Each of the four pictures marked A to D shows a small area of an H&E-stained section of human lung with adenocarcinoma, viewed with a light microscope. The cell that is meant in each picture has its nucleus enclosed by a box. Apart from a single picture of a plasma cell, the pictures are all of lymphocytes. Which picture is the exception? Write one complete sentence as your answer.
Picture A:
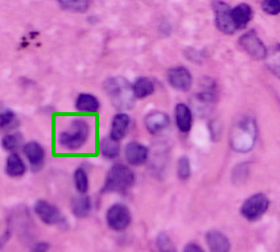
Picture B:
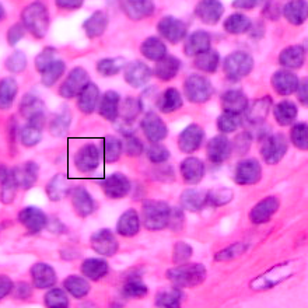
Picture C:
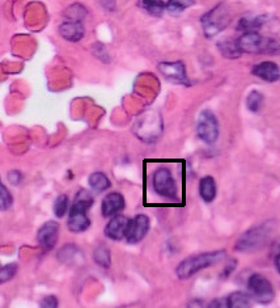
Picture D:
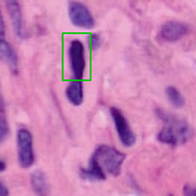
It is picture C that shows the plasma cell.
